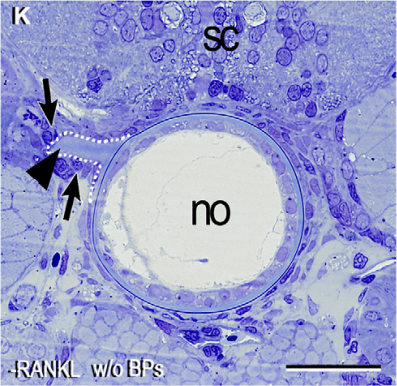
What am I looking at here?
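A transverse section stained in shades of blue shows a large, round, pale notochord enclosed in a thin sheath and ring of cells, with the spinal cord above it packed with rounded nuclei. Small cells with dark nuclei lie against the surface of this band, consistent with osteoblasts lining the bone. Around the notochord and arch lie loosely packed mesenchymal cells and, further out, muscle tissue.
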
